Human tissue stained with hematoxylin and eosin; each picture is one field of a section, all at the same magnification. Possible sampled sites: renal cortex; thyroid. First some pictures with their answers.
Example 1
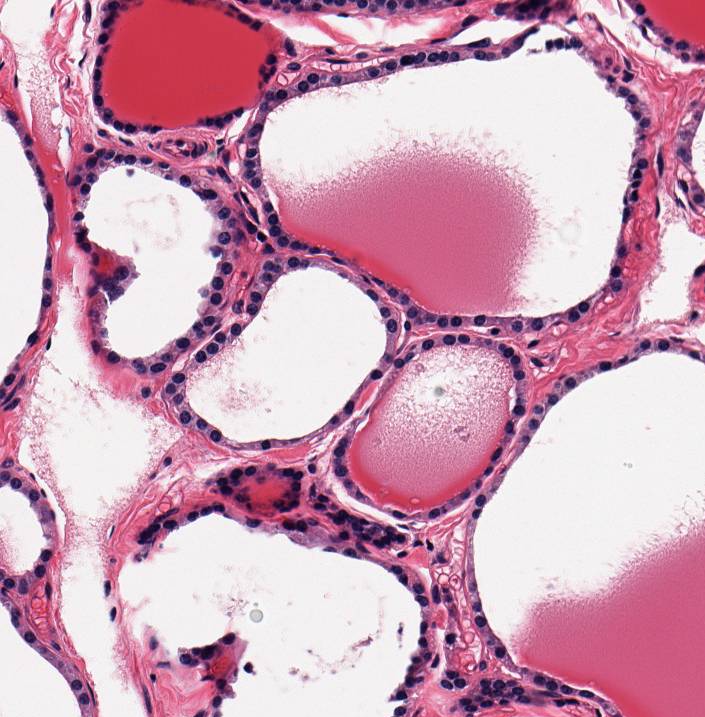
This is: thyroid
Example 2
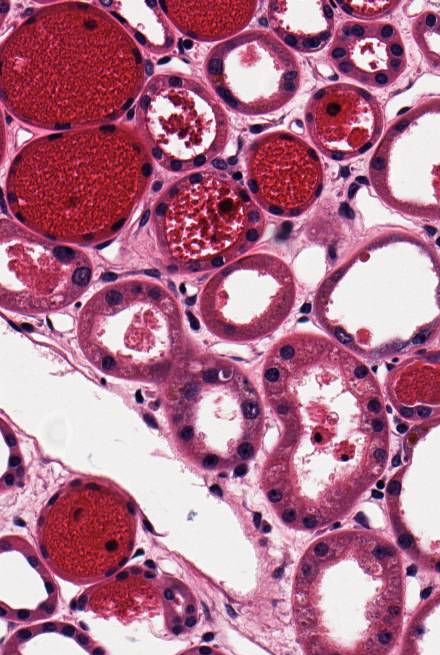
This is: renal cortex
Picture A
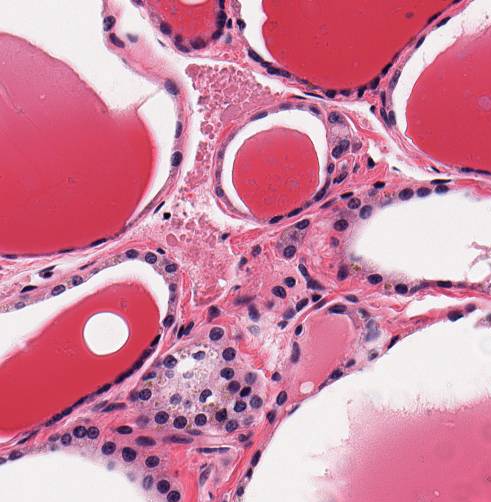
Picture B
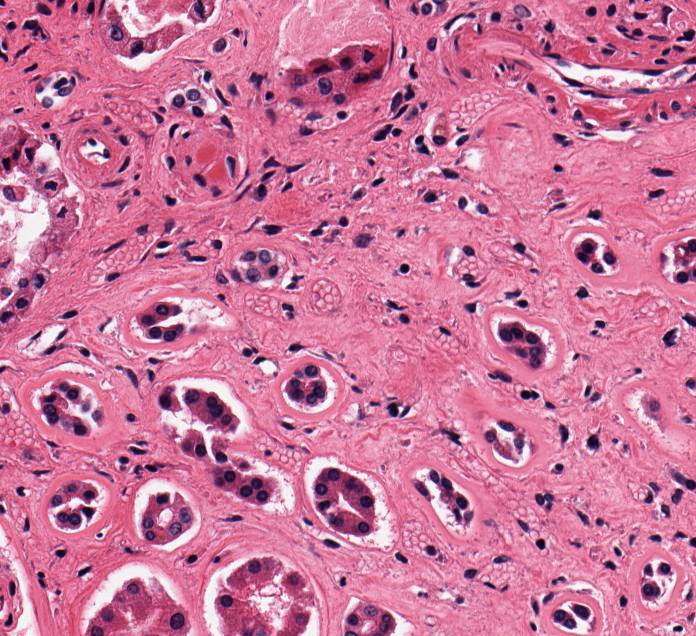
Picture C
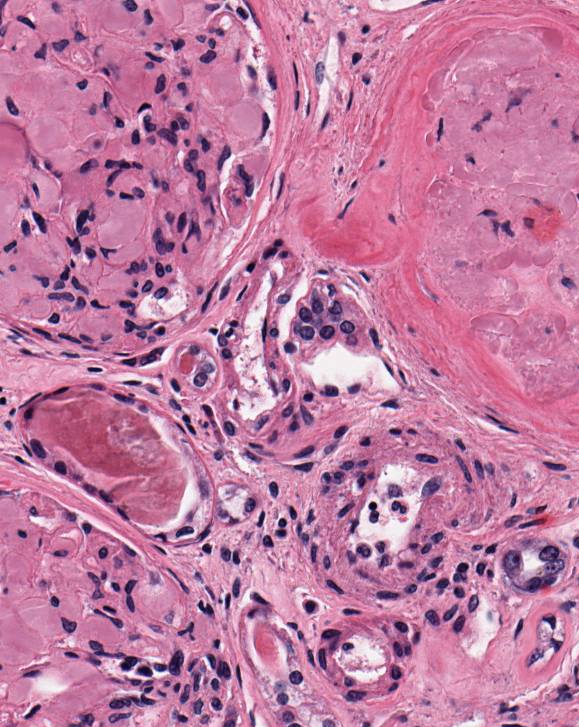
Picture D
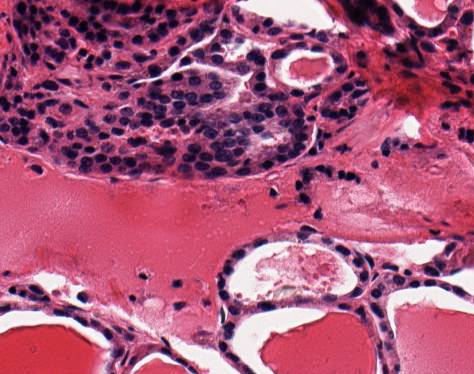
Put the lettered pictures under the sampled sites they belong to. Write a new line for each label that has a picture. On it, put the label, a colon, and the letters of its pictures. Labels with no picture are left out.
renal cortex: B, C
thyroid: A, D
